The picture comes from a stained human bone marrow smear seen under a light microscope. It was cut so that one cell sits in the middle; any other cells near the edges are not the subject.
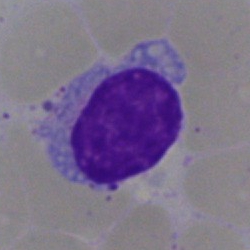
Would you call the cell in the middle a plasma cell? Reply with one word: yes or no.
no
